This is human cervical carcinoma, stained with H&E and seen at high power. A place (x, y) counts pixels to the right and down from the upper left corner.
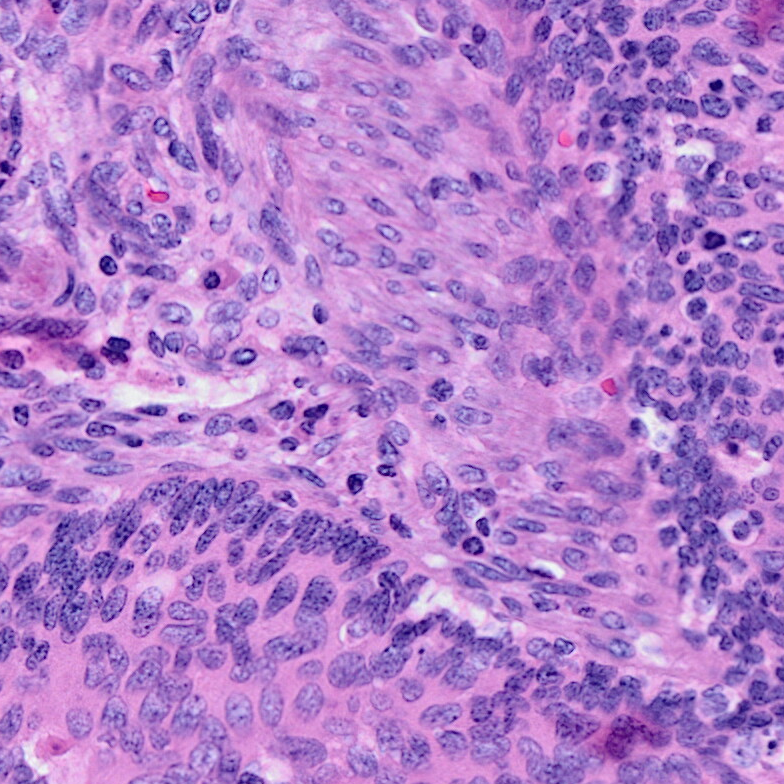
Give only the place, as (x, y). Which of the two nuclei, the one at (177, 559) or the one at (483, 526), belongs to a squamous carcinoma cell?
(177, 559)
